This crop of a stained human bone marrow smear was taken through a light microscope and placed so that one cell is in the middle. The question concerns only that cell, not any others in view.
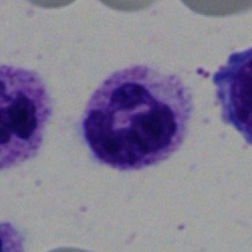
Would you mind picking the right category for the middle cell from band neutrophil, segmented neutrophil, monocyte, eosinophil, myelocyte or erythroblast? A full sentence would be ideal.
The cell shown in the center of this light-microscope crop is a segmented neutrophil.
